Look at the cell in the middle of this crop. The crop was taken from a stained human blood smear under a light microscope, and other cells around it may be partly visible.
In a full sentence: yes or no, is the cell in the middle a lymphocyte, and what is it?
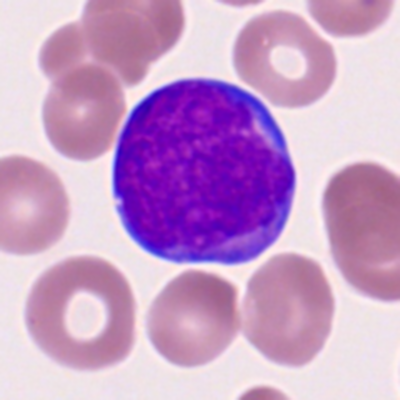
No, the cell in the centre is to be called a blast instead of a lymphocyte.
